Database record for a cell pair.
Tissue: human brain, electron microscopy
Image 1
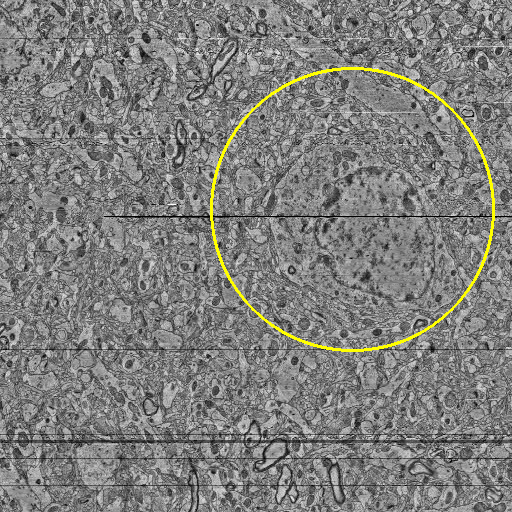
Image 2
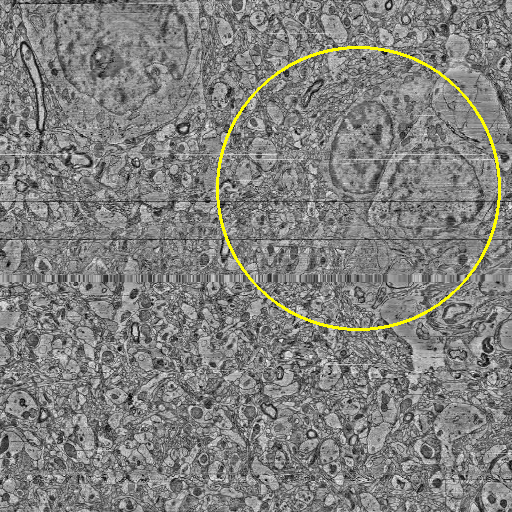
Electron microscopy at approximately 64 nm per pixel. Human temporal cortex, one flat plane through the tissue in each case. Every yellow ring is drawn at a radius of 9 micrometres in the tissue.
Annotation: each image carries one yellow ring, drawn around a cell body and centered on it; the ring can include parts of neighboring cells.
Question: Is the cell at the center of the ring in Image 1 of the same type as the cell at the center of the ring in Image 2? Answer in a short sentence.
No, the cells are of two types.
